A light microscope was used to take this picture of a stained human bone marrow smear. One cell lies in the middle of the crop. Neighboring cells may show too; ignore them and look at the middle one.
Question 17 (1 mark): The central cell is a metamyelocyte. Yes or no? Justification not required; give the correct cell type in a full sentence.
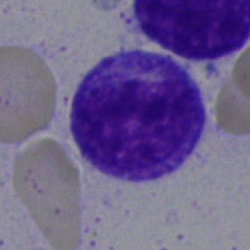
Yes, the cell of interest in the middle is a metamyelocyte.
